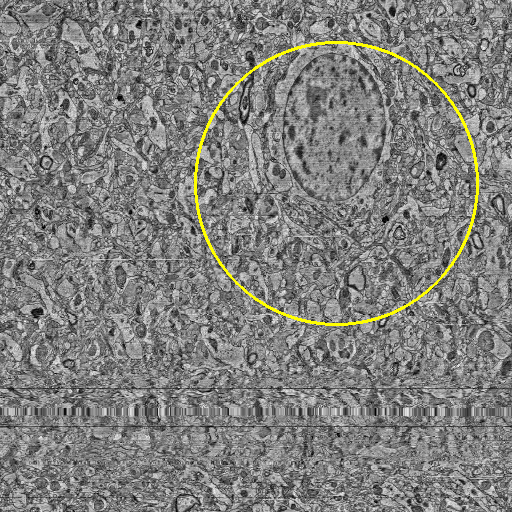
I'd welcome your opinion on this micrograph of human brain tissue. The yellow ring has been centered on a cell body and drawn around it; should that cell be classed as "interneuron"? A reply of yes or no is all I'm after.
no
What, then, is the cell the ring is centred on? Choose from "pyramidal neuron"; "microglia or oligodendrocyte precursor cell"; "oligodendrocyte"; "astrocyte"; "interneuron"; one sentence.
The correct answer is that the cell is an astrocyte.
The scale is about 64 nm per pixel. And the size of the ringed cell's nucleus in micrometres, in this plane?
About 10 by 6 micrometres in this plane; clearly longer than it is wide.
